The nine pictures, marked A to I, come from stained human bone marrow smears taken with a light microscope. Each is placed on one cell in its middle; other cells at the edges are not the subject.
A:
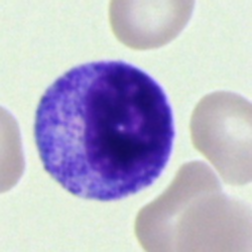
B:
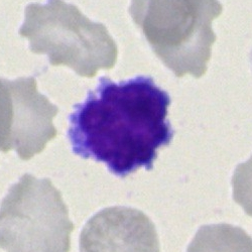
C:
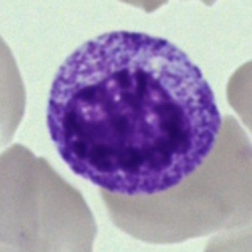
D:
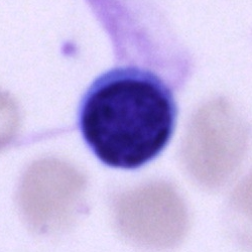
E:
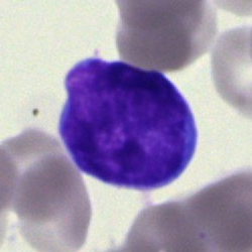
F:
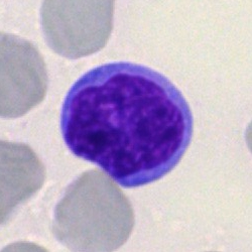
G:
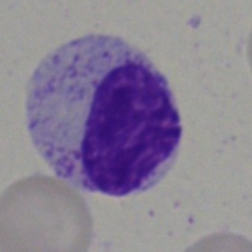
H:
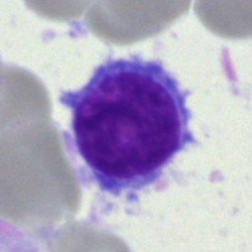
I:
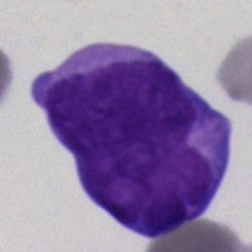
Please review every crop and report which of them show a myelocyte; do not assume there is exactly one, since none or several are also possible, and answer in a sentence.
What crops A, C and G show in the centre are myelocytes.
